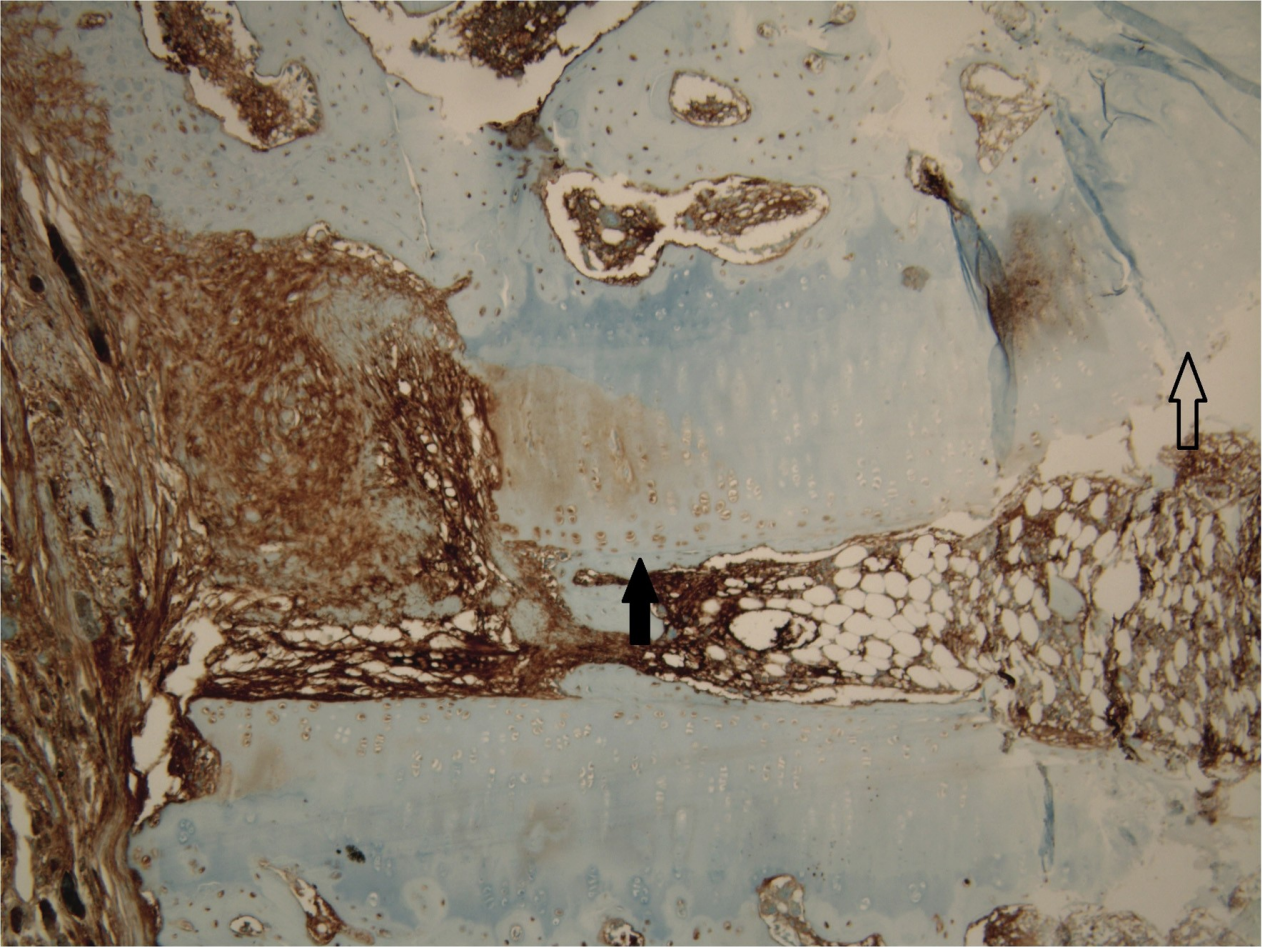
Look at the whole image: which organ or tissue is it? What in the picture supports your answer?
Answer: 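Broad areas of homogeneous pale blue matrix fill most of the field. Small round cells lie scattered in lacunae throughout this matrix. Some cells are arranged in paired groups and columns. So: cartilage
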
